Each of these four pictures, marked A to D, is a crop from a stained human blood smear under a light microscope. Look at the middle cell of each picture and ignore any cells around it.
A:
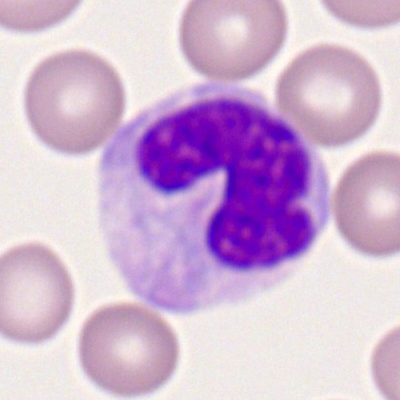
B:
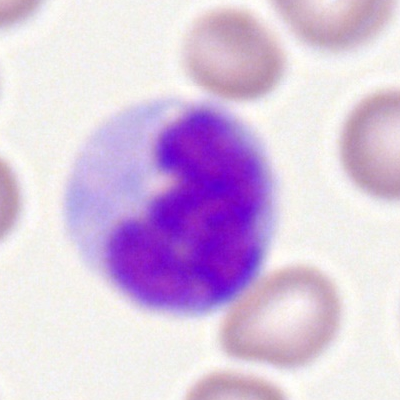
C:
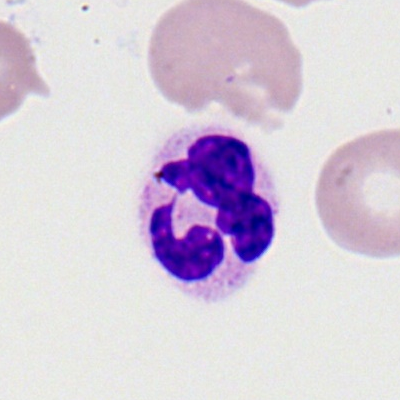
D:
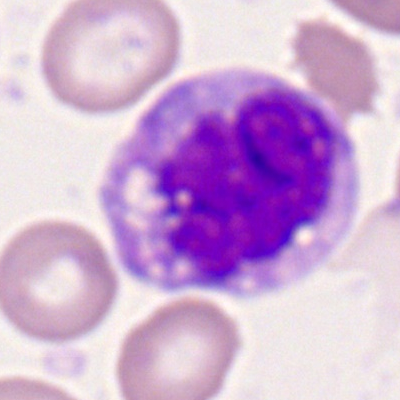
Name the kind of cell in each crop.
A: monocyte
B: monocyte
C: segmented neutrophil
D: monocyte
